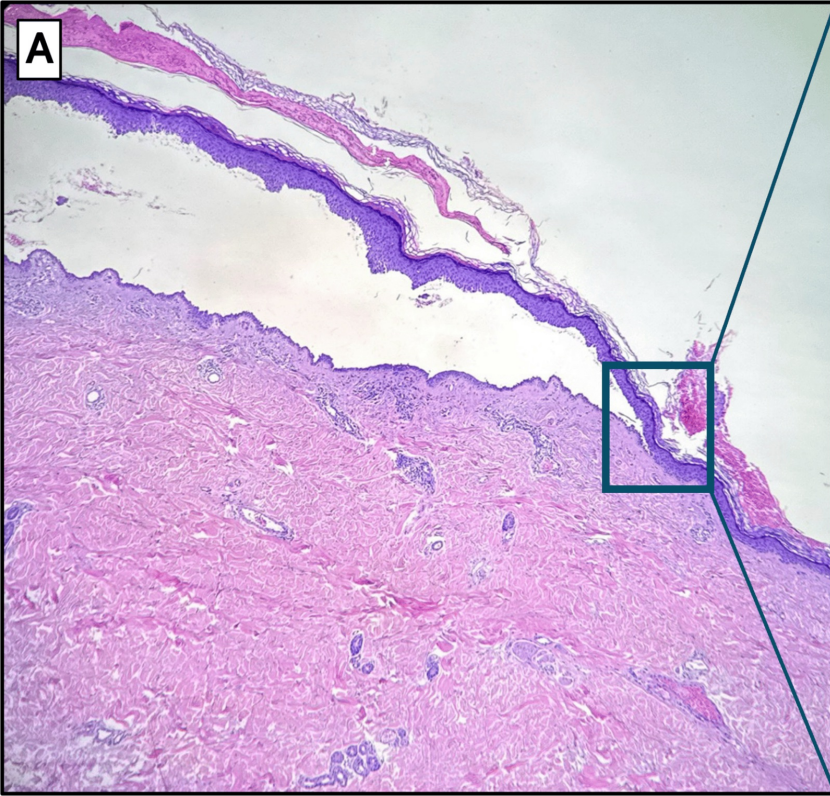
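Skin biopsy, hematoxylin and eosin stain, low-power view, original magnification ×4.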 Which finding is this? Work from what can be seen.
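Intraepidermal suprabasal blister. A wide empty cleft separates a lifted sheet of epidermis from the underlying tissue. Only a thin cell layer remains on the dermal side of the cleft. The cleft lies within the epidermis, not beneath it.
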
